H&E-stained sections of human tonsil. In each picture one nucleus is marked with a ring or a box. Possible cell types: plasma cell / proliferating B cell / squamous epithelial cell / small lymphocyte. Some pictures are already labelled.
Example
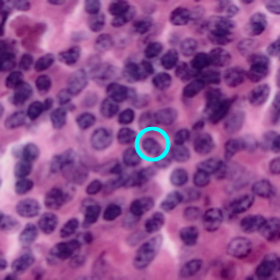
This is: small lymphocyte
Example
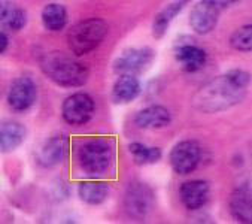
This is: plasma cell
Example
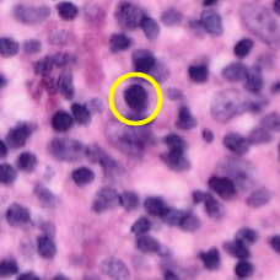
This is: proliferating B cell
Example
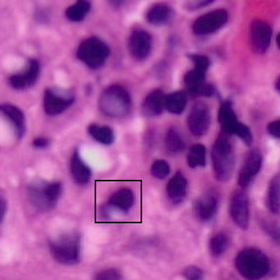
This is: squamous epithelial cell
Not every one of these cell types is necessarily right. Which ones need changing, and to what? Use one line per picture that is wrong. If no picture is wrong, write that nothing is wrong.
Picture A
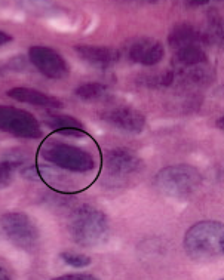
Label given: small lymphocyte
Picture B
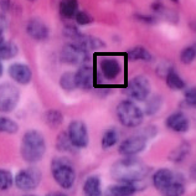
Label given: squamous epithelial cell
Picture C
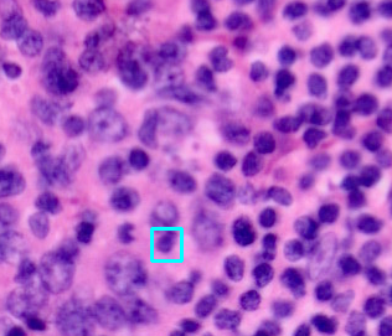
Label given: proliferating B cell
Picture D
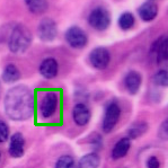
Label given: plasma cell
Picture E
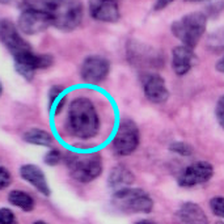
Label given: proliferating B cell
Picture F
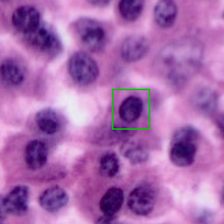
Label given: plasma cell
A is labelled small lymphocyte; correct label: squamous epithelial cell
B is labelled squamous epithelial cell; correct label: plasma cell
